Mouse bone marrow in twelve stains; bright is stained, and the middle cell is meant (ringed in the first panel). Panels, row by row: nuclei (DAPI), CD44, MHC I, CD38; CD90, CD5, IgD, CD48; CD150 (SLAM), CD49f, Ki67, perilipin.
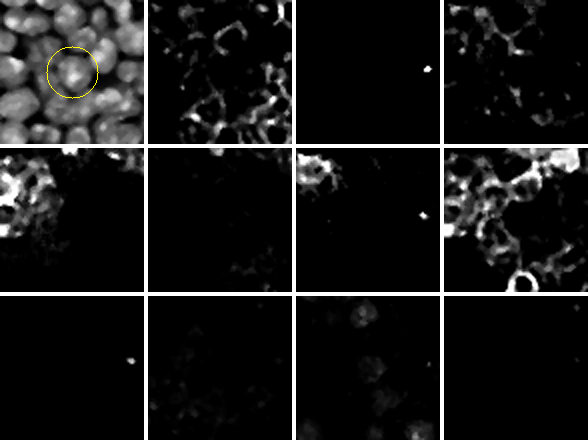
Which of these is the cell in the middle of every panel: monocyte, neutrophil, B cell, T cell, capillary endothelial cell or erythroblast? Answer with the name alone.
erythroblast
